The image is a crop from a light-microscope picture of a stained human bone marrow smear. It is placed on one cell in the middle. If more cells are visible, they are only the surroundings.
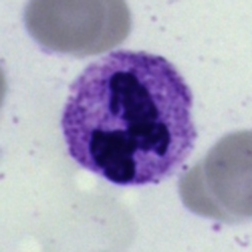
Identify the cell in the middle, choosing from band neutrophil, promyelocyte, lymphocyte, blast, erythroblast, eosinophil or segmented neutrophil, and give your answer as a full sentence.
The crop's centre is taken up by a segmented neutrophil.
